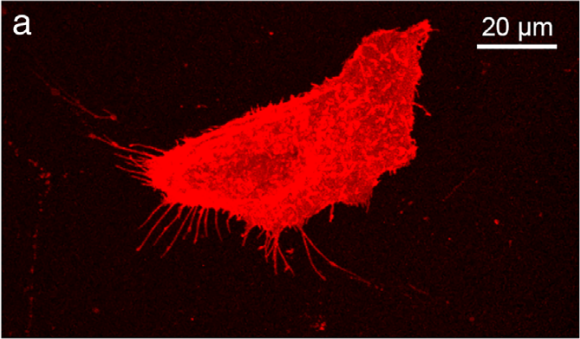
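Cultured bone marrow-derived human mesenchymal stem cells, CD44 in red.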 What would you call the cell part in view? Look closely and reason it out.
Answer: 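Many thin straight projections radiate from the cell edges. Projections are especially numerous along the lower and left margins.
Filopodia.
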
